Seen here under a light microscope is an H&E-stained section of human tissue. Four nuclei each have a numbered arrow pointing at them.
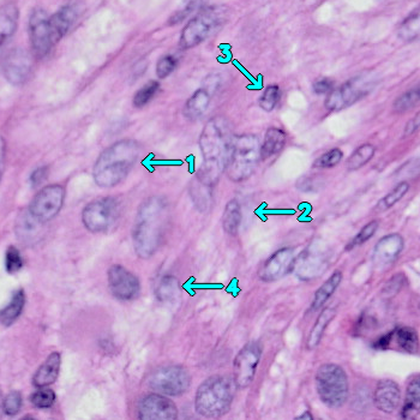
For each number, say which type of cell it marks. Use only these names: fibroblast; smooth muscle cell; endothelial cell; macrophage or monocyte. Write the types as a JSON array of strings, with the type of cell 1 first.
["fibroblast", "fibroblast", "macrophage or monocyte", "fibroblast"]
